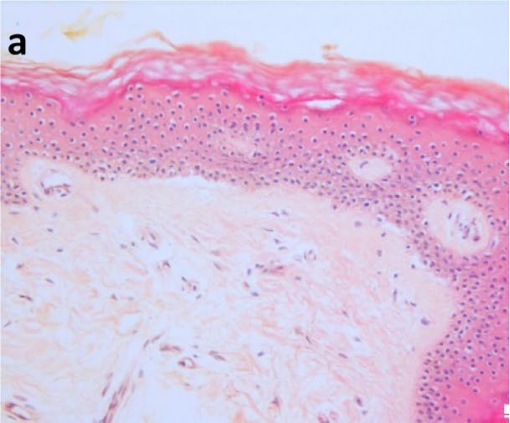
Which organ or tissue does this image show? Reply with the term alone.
Skin.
